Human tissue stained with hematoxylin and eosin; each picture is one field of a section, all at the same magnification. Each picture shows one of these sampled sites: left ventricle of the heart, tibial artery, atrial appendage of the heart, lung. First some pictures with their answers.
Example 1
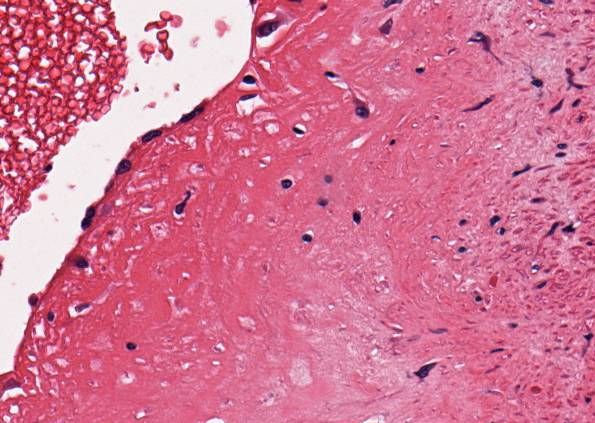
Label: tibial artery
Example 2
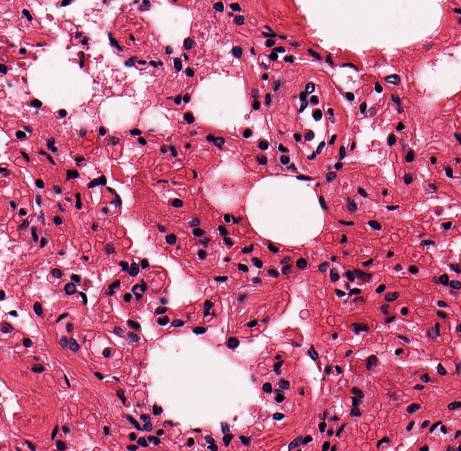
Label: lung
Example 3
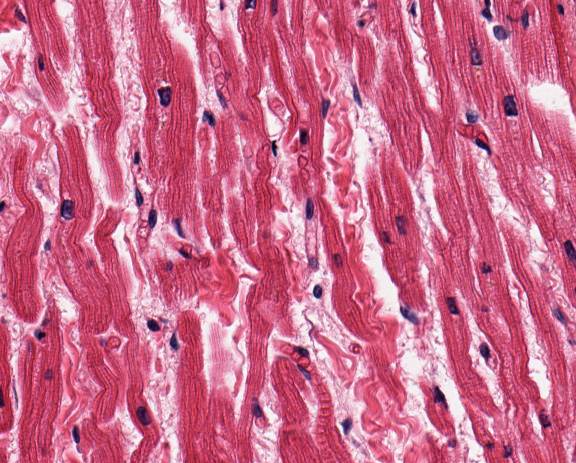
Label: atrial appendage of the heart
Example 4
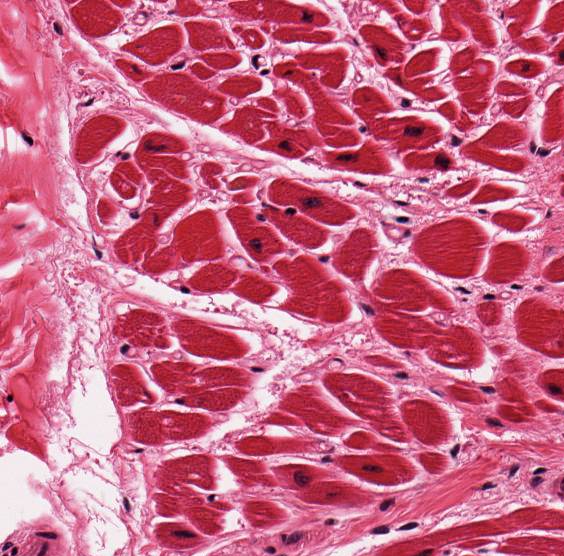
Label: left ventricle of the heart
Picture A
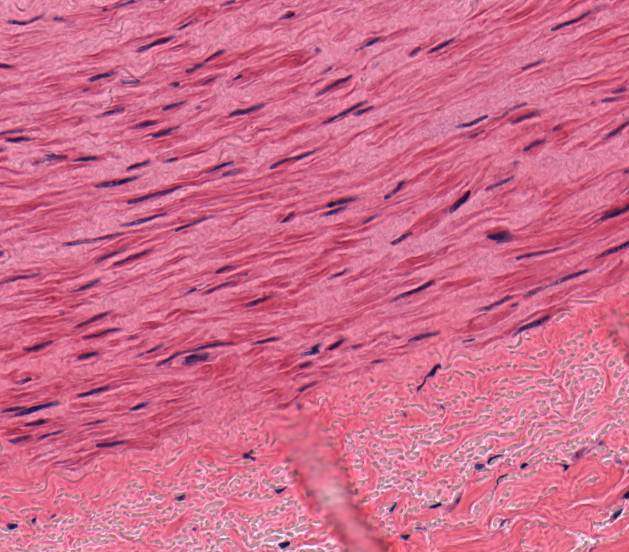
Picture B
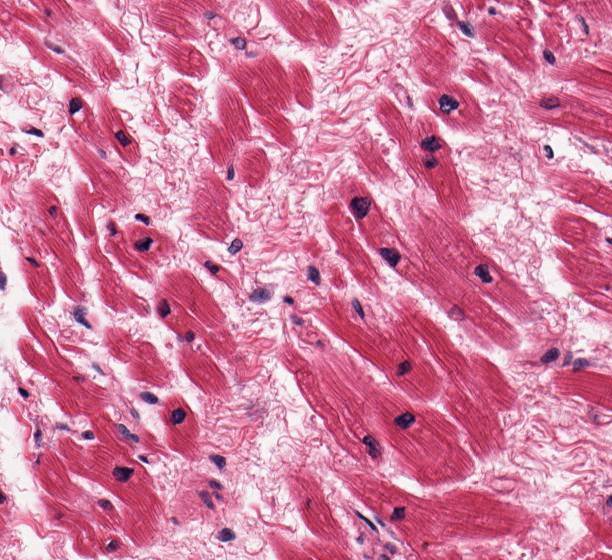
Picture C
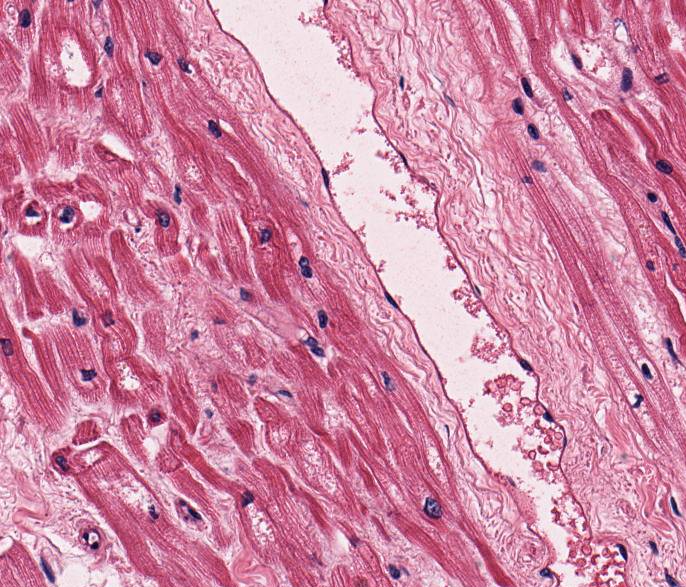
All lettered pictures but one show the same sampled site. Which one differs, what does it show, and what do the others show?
Odd one out: A (tibial artery). The rest: atrial appendage of the heart.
